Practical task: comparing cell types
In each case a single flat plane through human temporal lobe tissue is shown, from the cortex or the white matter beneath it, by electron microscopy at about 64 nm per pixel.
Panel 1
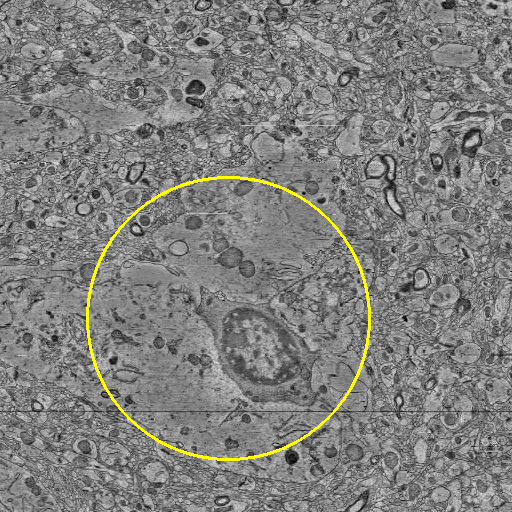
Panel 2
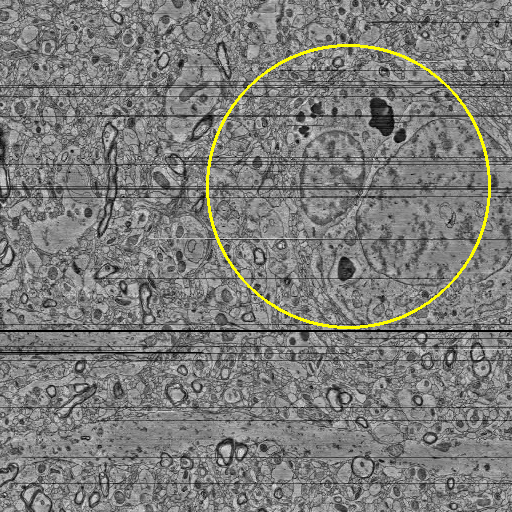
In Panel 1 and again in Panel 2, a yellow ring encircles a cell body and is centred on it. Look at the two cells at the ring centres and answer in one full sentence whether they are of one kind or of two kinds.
The two cells sitting at the ring centres of Panels 1 and 2 are of one kind.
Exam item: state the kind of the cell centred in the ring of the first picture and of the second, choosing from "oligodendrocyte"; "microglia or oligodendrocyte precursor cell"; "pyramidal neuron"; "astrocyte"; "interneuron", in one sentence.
Both pictures show an oligodendrocyte at the centre of the ring.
